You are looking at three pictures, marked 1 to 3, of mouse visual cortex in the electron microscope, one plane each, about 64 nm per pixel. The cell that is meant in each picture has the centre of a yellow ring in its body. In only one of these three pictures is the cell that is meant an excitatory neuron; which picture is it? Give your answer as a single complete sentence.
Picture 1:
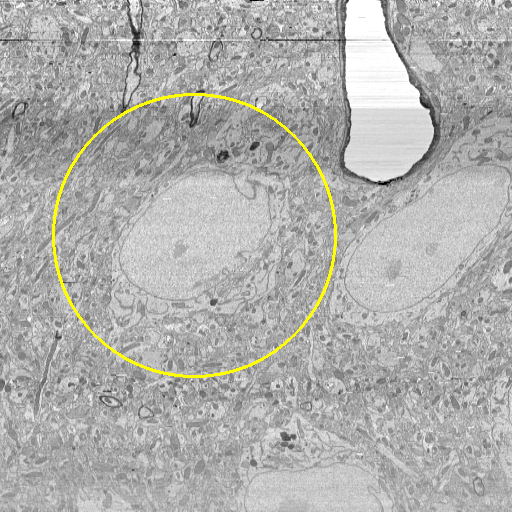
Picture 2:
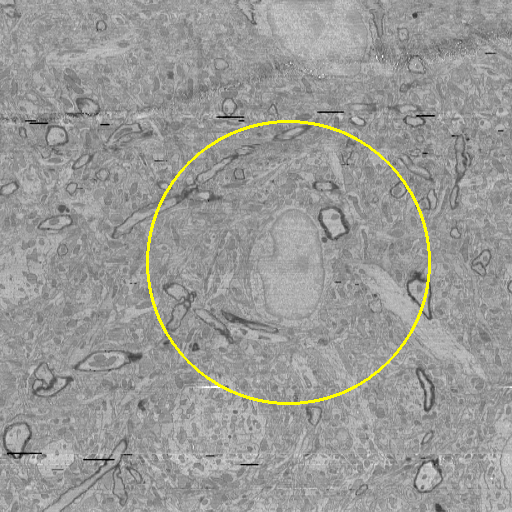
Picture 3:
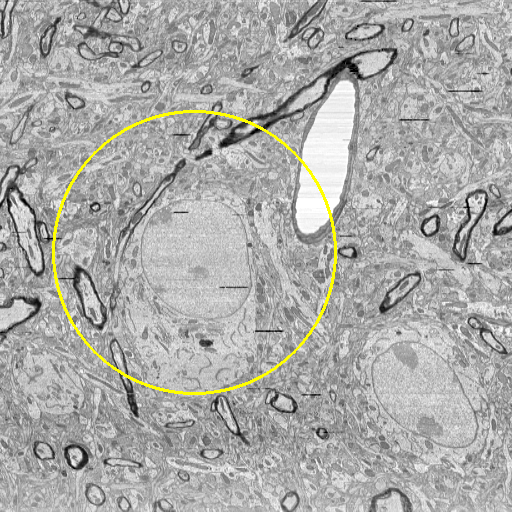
The picture with the excitatory neuron is 3.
